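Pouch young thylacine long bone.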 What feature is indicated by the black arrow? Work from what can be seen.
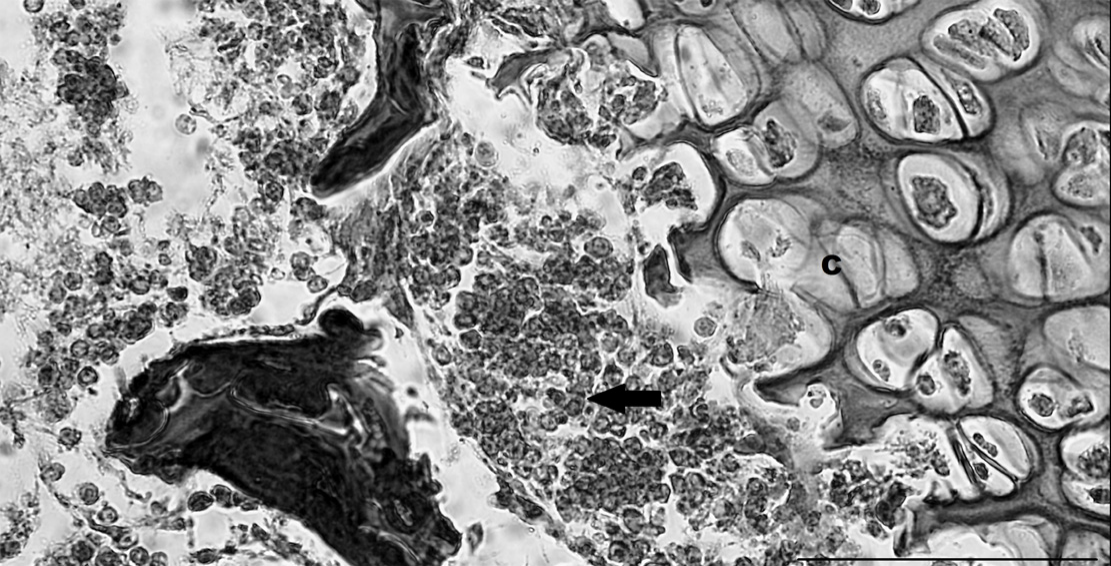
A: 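The arrow points into a dense cluster of many small, round cells with dark nuclei. On this evidence: Islands of haematopoiesis.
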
